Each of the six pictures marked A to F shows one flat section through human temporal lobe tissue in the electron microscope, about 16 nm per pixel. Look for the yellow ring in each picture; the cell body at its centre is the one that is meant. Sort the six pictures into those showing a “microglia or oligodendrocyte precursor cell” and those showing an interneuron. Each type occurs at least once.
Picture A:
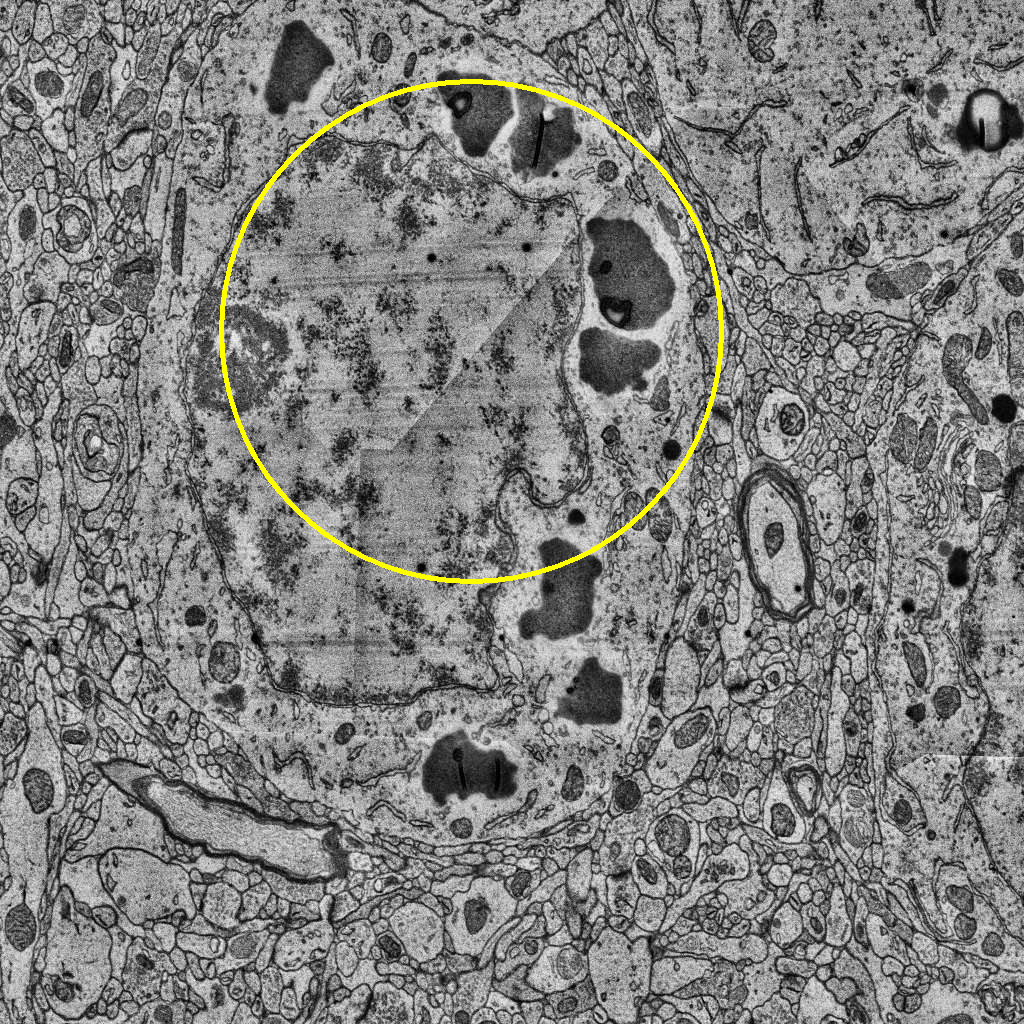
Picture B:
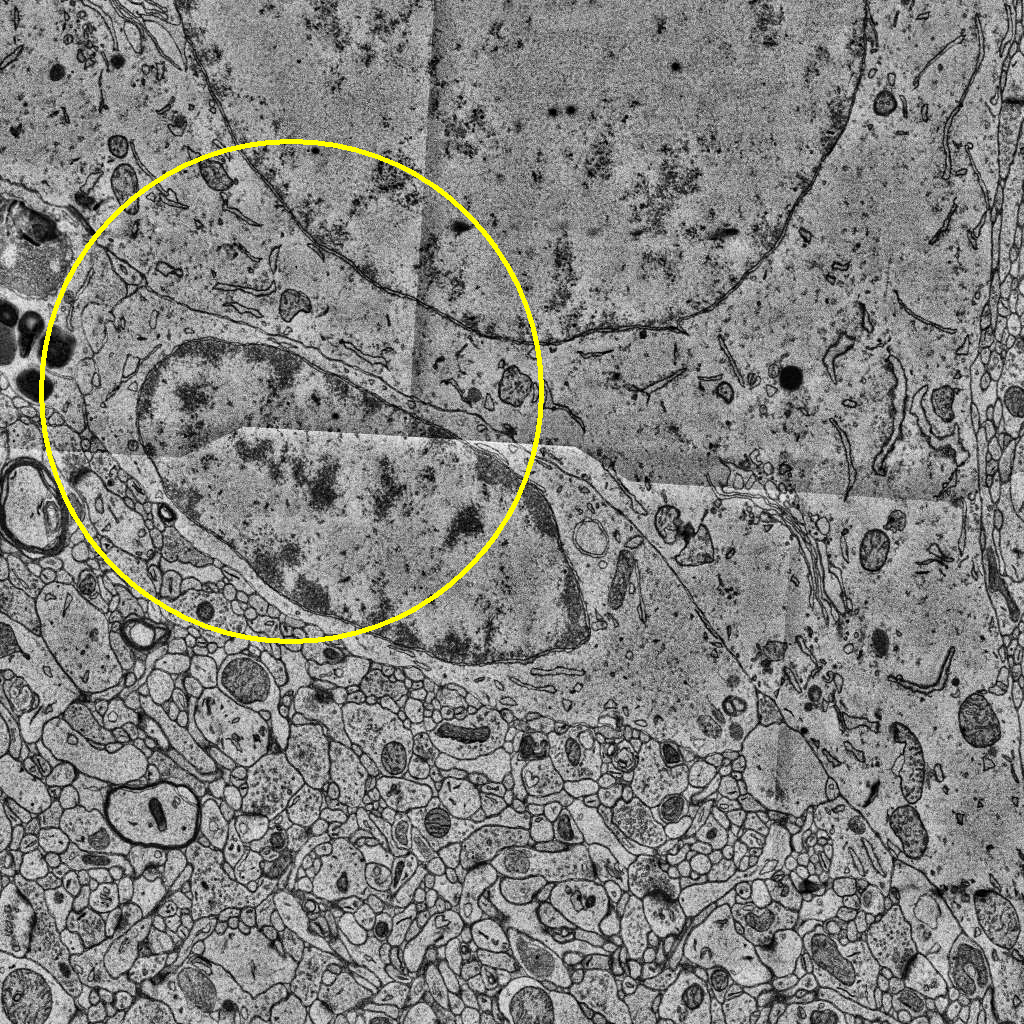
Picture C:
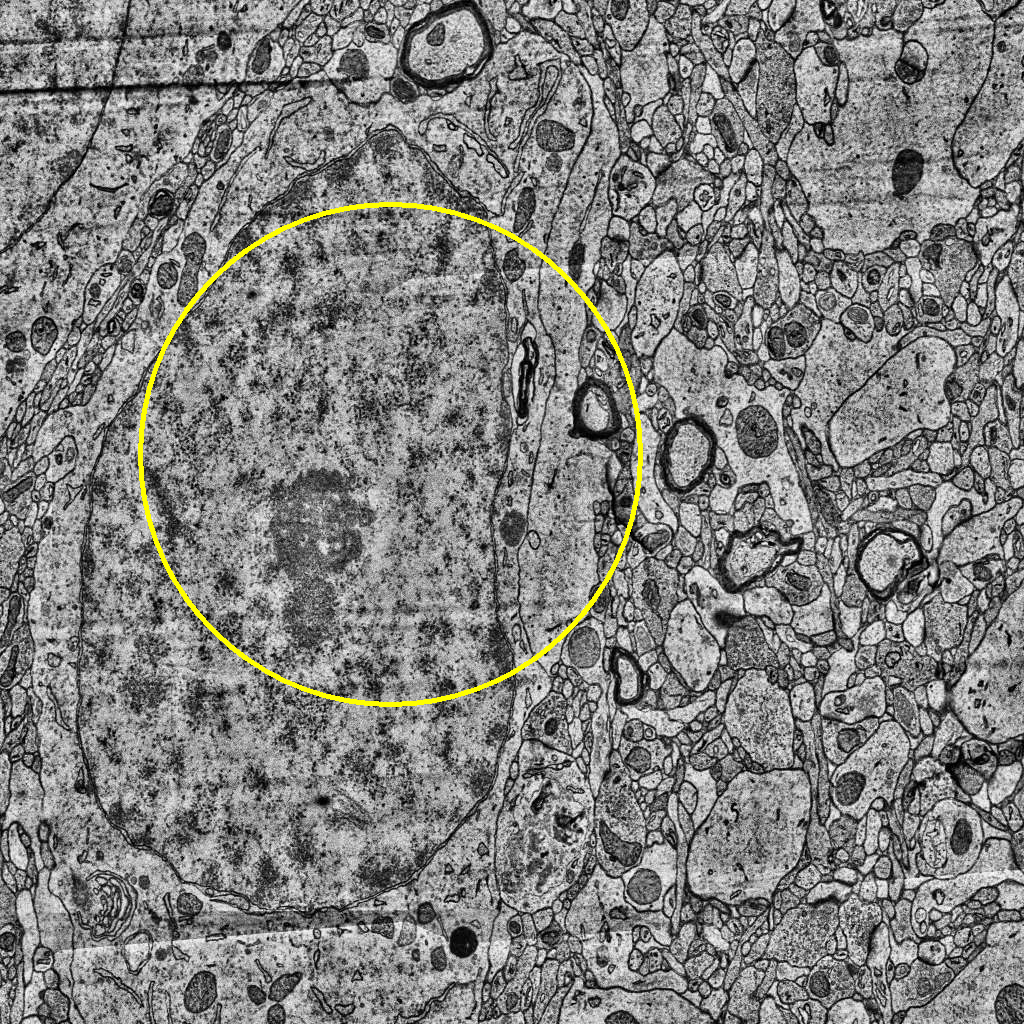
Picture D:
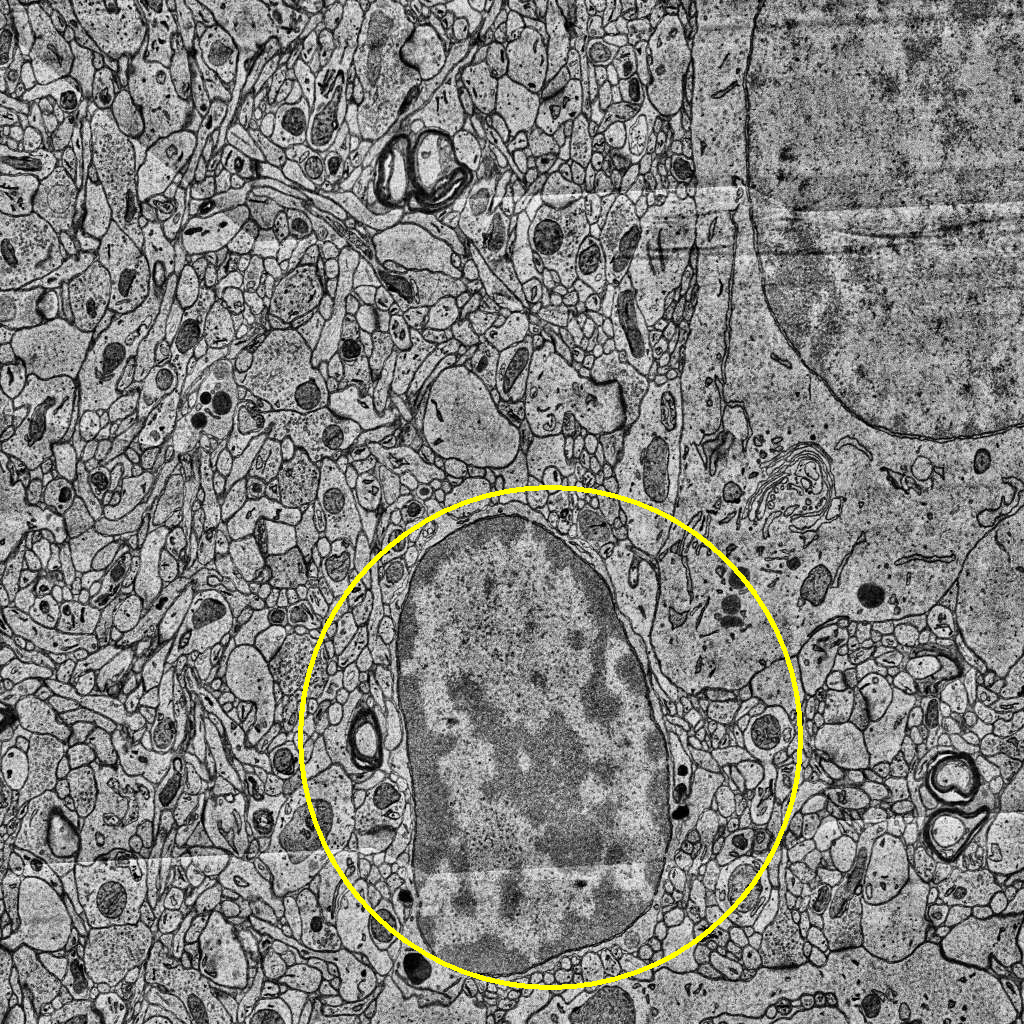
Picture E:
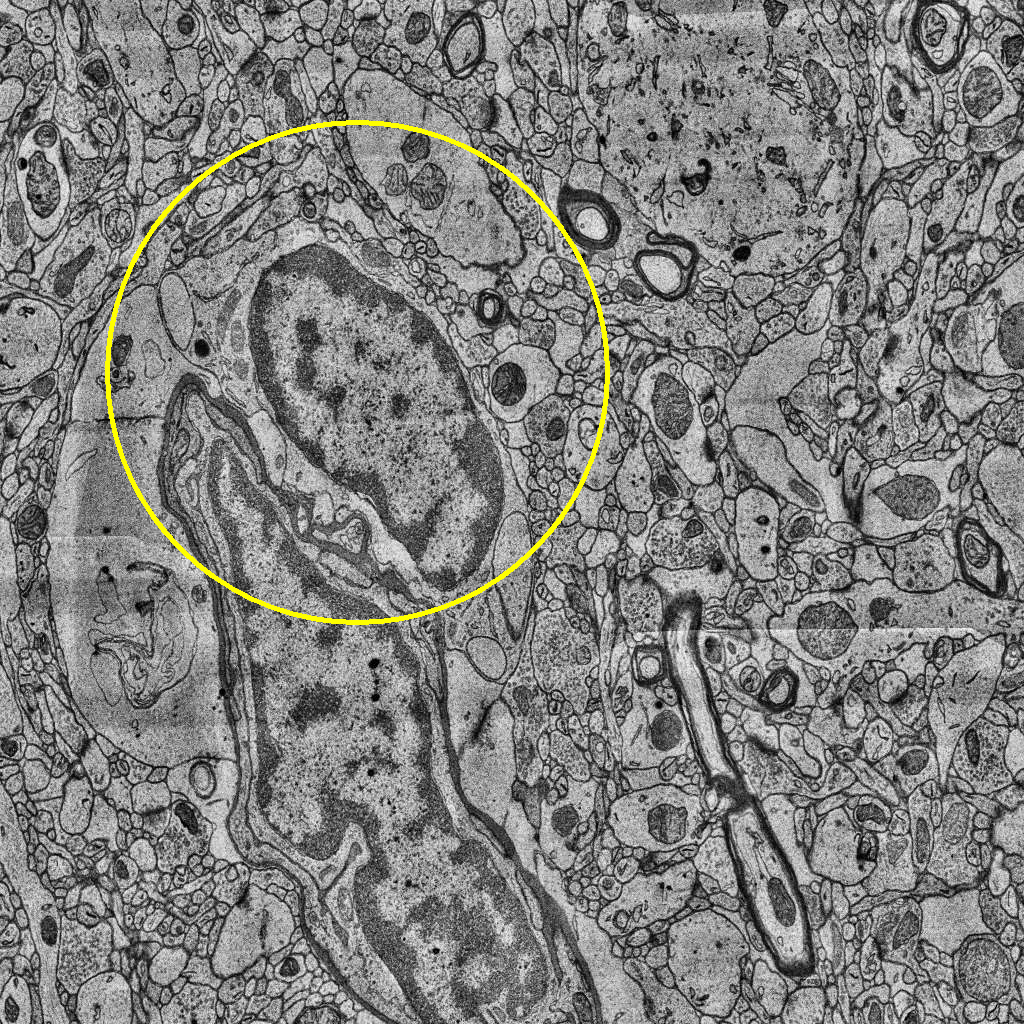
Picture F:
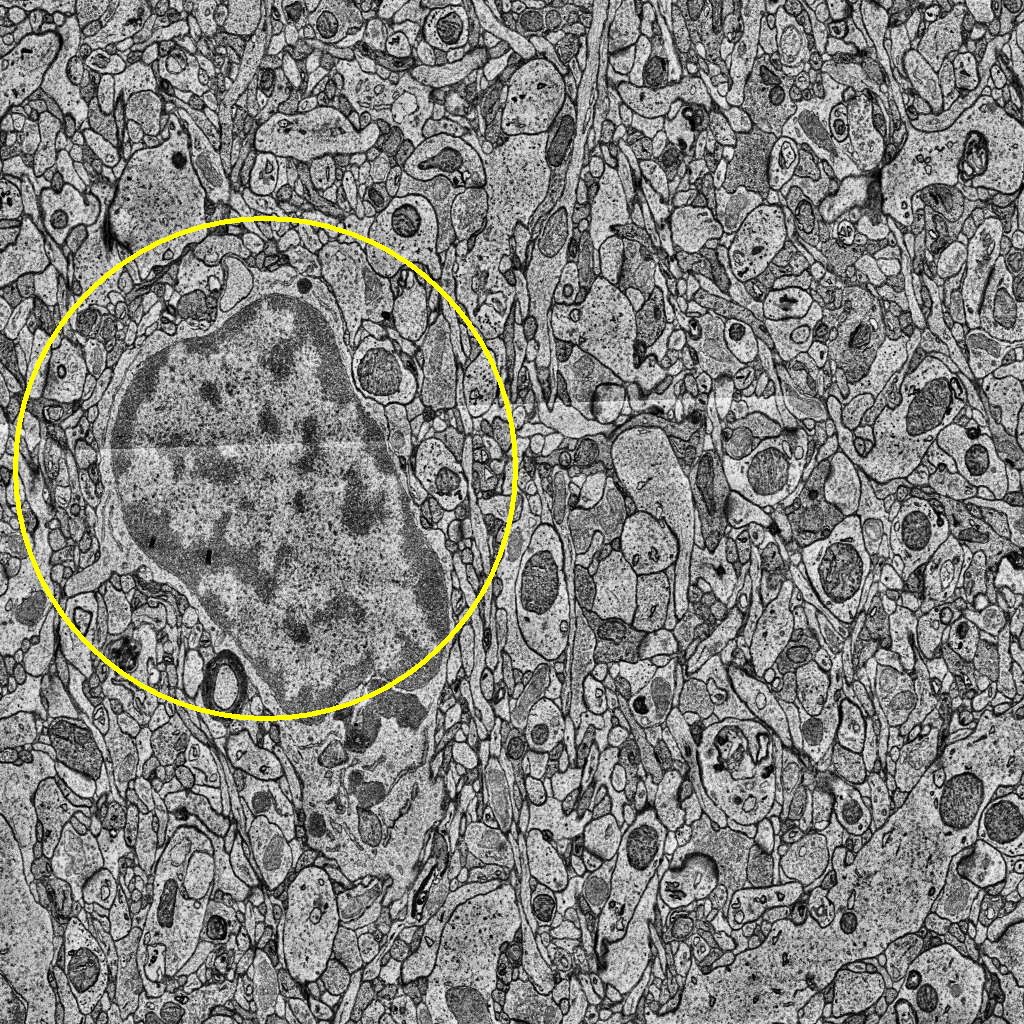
Pictures B, D, E and F show “microglia or oligodendrocyte precursor cells”, while pictures A and C show interneurons.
